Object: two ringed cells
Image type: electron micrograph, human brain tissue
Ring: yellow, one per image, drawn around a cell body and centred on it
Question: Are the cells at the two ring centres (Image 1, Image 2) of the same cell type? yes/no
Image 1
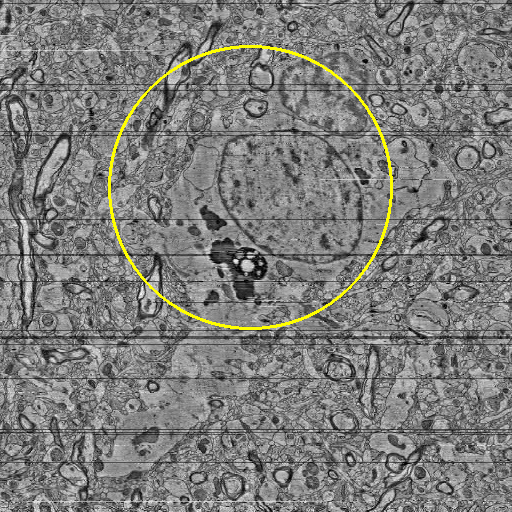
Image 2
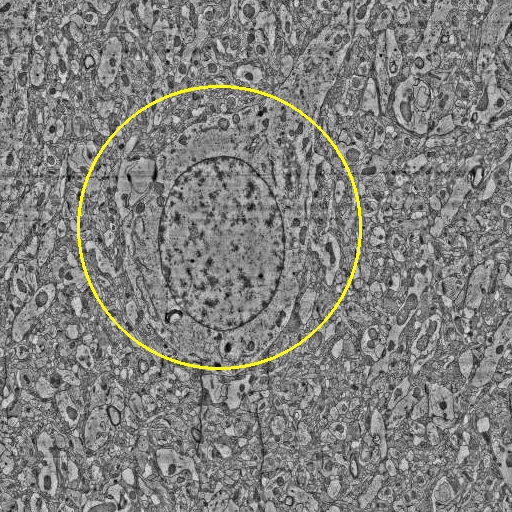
no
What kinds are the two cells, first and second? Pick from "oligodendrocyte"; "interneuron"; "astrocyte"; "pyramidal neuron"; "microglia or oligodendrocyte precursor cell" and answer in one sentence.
The second picture holds a pyramidal neuron in its ring, and the first holds an astrocyte.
